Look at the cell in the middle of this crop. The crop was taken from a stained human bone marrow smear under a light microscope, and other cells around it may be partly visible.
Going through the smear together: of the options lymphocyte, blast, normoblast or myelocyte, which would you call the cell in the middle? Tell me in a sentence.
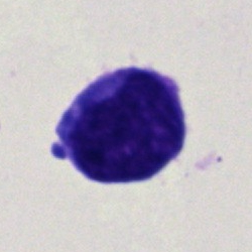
The centrally placed cell is classified as a blast.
